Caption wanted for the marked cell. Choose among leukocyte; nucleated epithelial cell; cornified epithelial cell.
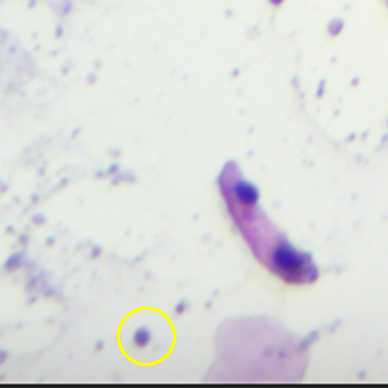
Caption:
Ringed in yellow is a leukocyte.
